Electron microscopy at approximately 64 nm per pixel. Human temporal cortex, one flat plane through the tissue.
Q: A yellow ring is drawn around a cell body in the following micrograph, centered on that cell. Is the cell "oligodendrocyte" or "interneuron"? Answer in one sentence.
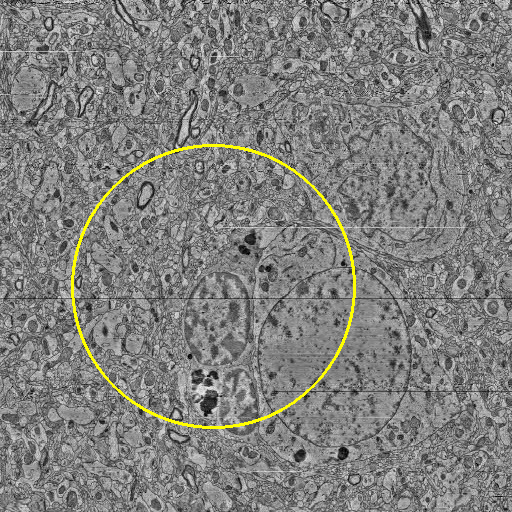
The cell in the center of the ring is an oligodendrocyte.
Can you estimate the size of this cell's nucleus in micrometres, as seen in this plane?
The nucleus works out at approximately 6 by 4 micrometres in this plane.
